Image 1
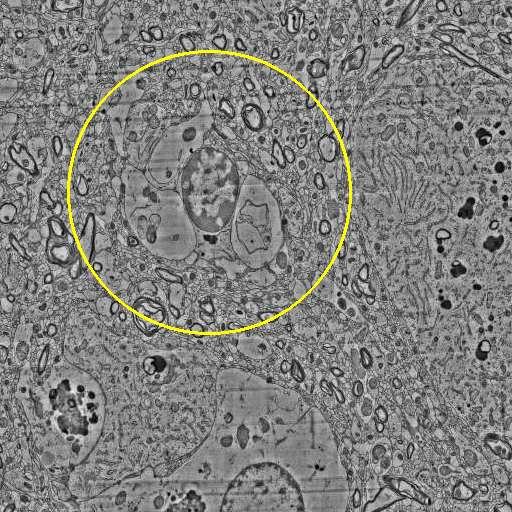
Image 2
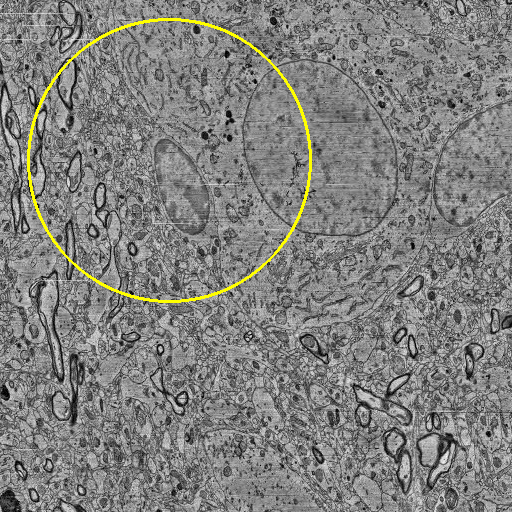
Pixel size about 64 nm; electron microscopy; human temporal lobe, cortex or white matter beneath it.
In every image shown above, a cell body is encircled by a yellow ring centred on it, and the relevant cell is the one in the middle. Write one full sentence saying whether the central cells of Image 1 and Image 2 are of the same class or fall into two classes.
The cell at the ring's centre in Image 1 and its counterpart in Image 2 fall into two classes.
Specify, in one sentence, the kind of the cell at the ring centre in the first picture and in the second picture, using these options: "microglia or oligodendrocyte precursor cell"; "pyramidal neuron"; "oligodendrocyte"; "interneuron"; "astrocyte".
So the first is a microglial cell or oligodendrocyte precursor cell, the second an oligodendrocyte.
